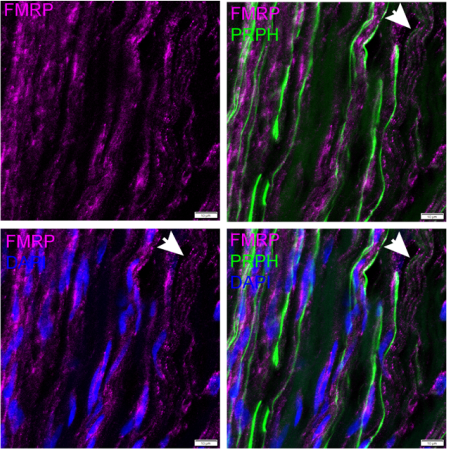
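This is a longitudinal section of a peripheral nerve, showing long, wavy axons running in parallel across the field. Fine magenta puncta are scattered along the fibres throughout the tissue. Some of the fibres are outlined by bright green. Elongated blue nuclei lie between the fibres, aligned with them, while some magenta puncta lie along the fibres away from any nucleus.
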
